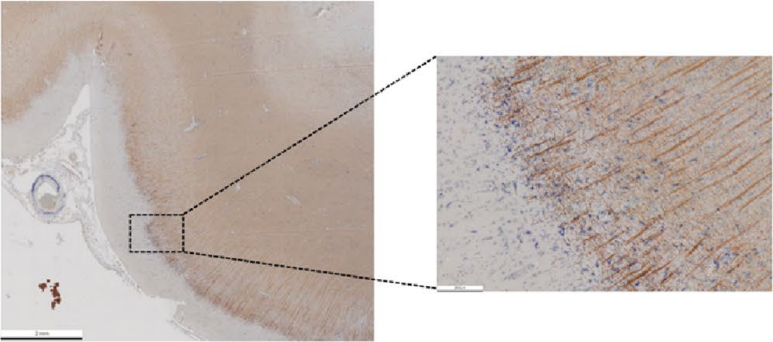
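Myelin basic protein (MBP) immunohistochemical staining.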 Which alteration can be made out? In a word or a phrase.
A: Subpial lesion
